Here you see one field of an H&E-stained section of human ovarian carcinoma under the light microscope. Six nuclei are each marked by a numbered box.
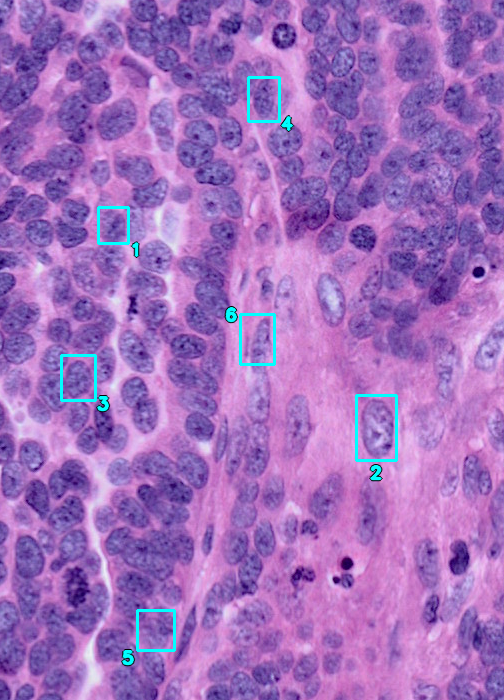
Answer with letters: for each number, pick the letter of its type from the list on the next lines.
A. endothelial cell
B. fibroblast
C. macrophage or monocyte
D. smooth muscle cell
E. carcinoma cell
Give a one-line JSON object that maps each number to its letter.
{"1": "E", "2": "B", "3": "E", "4": "E", "5": "E", "6": "B"}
